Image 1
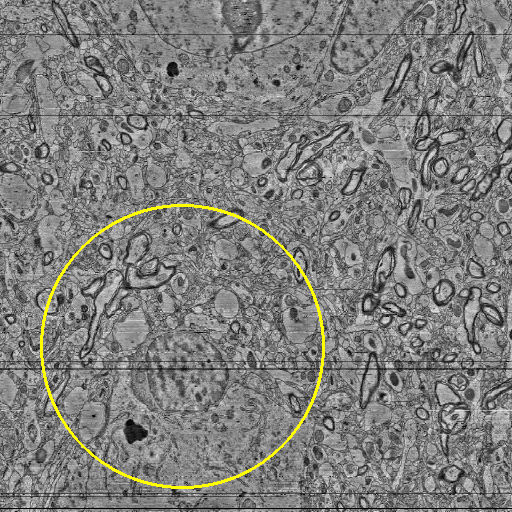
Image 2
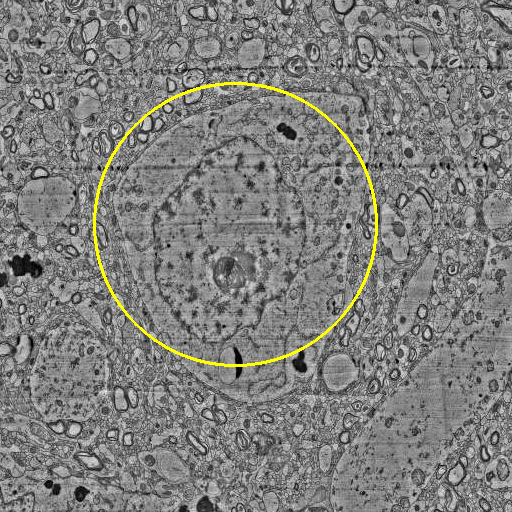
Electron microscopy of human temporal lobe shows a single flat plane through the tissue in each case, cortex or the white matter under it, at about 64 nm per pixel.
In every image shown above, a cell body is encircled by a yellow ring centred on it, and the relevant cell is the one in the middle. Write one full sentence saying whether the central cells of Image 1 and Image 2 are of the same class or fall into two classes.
The cell at the ring's centre in Image 1 and its counterpart in Image 2 fall into two classes.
